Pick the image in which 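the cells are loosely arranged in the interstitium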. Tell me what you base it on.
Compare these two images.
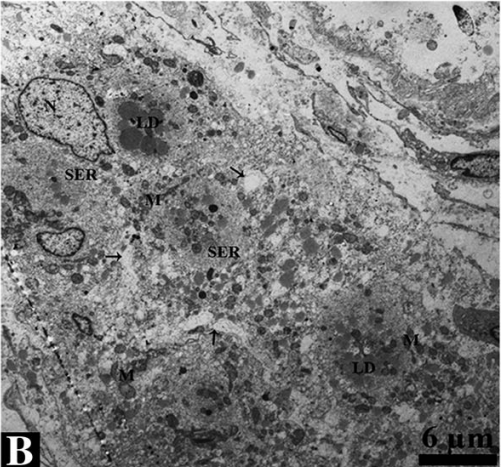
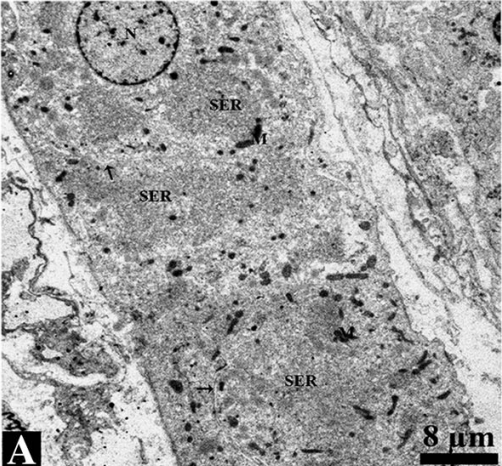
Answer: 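The first image. First image: cells are separated by clearer spaces and irregular outlines, with lipid droplets. Second image: cells lie closely packed with uniform cytoplasm.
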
